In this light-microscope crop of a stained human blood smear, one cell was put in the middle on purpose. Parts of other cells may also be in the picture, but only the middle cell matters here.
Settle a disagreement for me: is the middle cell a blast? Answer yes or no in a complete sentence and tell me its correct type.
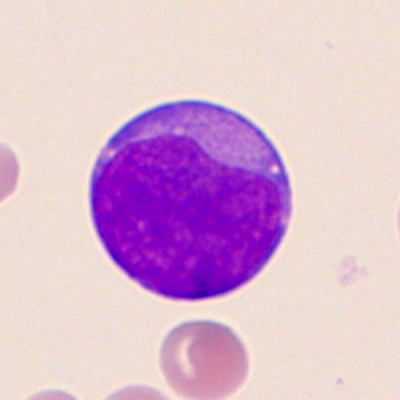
Yes, the cell in the middle is rightly called a blast.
